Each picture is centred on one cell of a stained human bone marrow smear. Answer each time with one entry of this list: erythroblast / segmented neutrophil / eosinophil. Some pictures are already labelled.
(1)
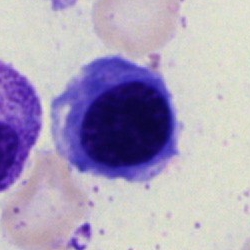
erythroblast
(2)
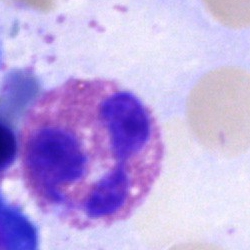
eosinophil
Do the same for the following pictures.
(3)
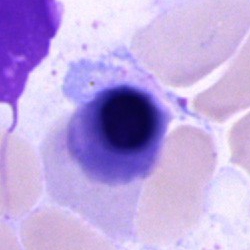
erythroblast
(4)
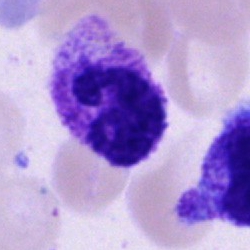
segmented neutrophil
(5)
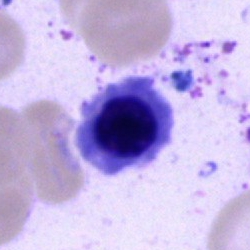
erythroblast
